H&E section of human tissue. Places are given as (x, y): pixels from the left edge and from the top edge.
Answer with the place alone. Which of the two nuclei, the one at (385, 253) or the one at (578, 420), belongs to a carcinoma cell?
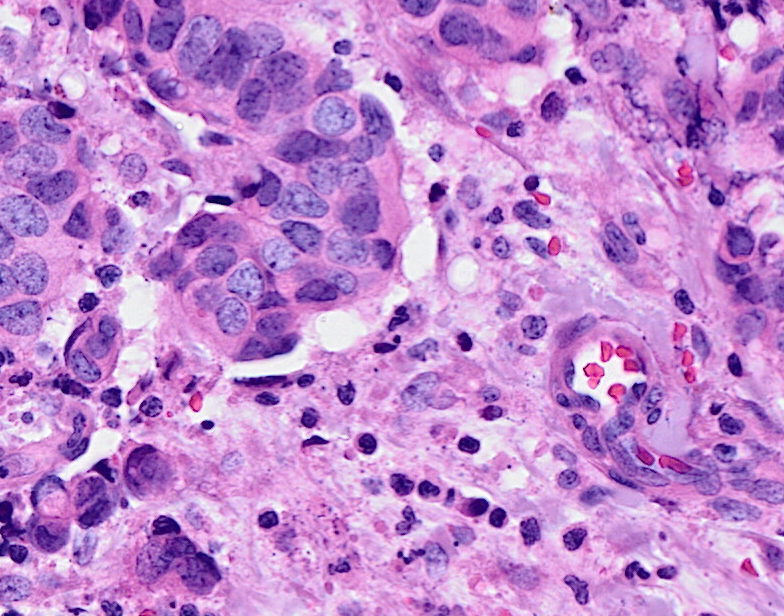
(385, 253)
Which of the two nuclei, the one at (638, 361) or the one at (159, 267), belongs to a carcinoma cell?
(159, 267)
